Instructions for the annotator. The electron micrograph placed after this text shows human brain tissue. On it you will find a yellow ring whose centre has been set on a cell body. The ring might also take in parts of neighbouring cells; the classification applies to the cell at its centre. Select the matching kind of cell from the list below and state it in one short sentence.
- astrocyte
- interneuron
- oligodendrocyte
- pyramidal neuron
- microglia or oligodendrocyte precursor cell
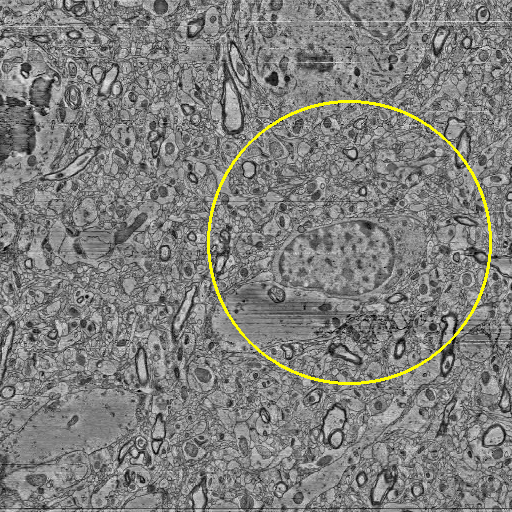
The ring is drawn on the cell body of an oligodendrocyte.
